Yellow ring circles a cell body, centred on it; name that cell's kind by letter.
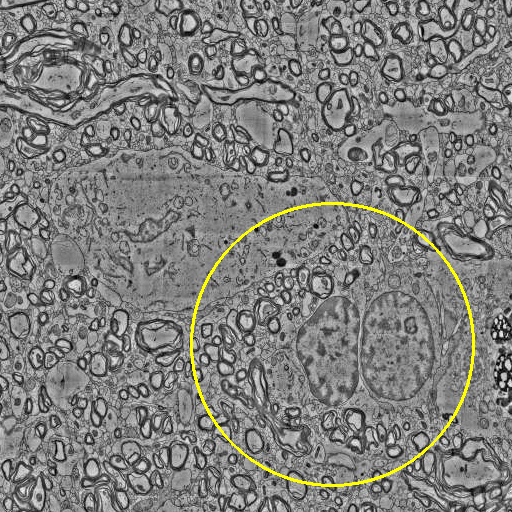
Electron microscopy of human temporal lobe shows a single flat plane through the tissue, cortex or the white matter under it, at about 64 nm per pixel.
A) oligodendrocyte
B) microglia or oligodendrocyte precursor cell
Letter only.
B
